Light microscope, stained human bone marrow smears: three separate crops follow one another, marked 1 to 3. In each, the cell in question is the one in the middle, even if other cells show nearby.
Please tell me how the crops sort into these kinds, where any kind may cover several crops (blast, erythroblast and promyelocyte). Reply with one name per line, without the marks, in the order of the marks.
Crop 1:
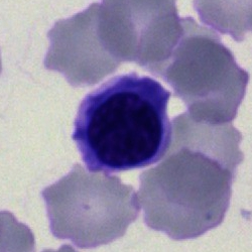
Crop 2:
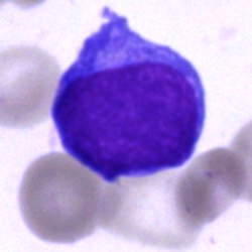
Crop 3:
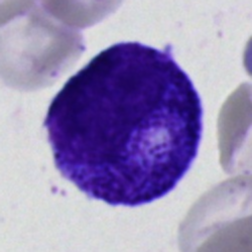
erythroblast
blast
promyelocyte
